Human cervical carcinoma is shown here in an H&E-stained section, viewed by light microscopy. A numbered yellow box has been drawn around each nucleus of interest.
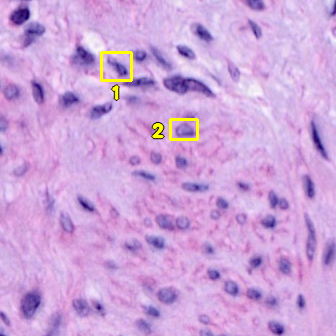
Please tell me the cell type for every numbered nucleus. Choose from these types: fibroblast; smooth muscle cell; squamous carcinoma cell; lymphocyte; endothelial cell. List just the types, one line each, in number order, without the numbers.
fibroblast
smooth muscle cell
